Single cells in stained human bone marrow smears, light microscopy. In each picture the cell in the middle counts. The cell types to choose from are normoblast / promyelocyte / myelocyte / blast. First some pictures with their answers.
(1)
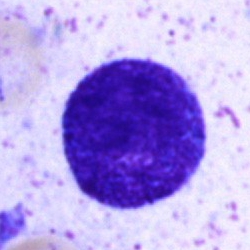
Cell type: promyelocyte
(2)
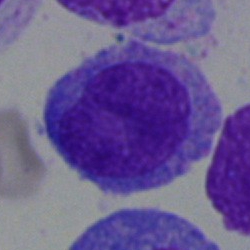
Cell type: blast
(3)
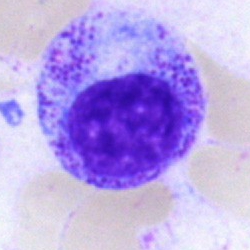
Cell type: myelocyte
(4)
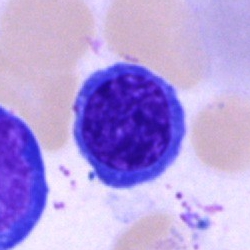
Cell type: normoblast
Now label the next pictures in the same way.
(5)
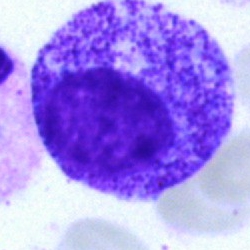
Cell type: myelocyte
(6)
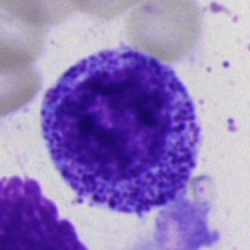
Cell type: myelocyte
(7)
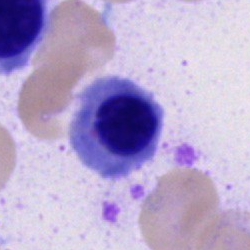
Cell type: normoblast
